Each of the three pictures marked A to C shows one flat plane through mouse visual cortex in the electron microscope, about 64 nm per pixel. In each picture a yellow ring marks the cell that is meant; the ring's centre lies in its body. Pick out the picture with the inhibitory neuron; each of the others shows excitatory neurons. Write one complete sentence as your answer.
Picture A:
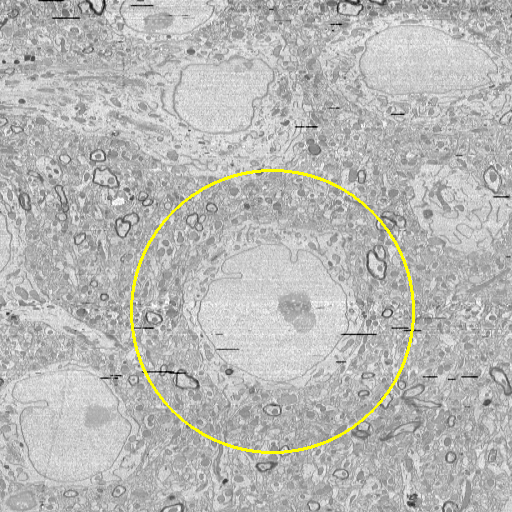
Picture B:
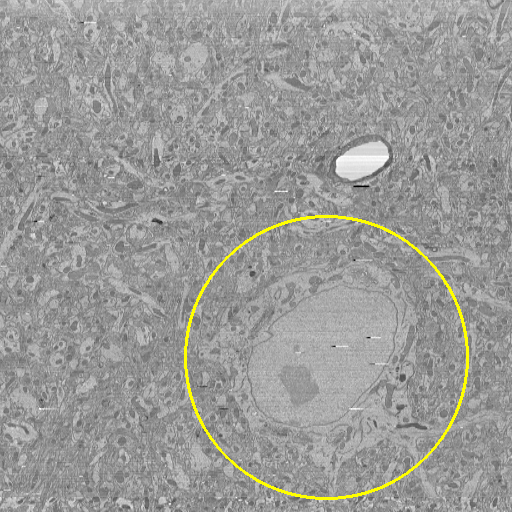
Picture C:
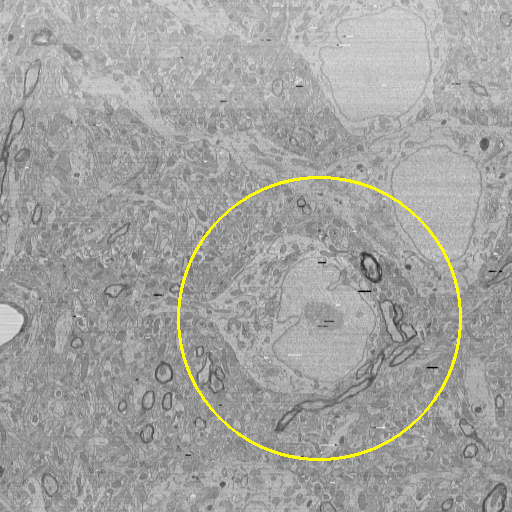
Picture C is the one that shows the inhibitory neuron.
